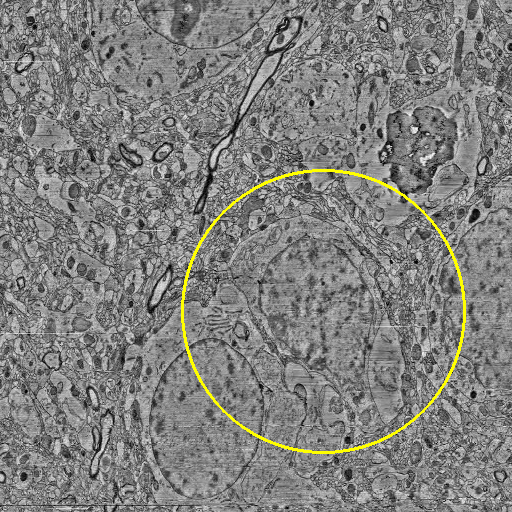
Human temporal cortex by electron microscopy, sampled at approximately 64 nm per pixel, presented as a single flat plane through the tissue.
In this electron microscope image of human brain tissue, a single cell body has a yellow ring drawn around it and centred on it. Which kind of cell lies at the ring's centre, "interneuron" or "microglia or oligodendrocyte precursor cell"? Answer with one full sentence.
It is an interneuron whose cell body lies at the centre of the yellow ring here.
